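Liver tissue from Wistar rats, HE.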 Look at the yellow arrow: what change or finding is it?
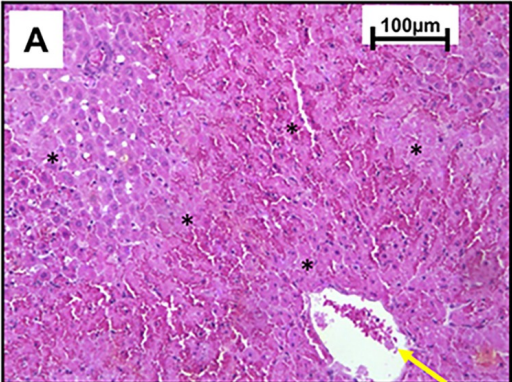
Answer: Hyperaemia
